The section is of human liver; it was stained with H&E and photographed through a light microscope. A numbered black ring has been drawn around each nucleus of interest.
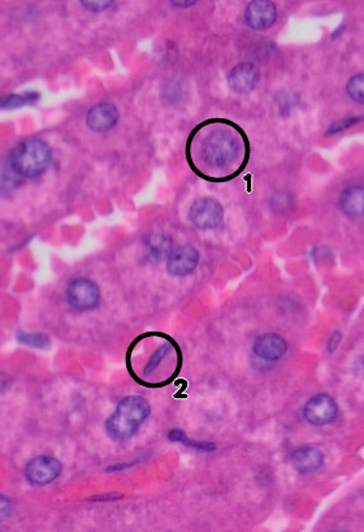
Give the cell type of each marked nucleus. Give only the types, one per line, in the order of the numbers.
hepatocyte
endothelial cell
